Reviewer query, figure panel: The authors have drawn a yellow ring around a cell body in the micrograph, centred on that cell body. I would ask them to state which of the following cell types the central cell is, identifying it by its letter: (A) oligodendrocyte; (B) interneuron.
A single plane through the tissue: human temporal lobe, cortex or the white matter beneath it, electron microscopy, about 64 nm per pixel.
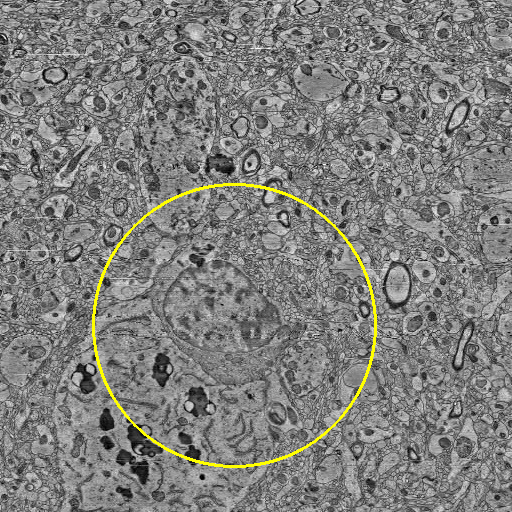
A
